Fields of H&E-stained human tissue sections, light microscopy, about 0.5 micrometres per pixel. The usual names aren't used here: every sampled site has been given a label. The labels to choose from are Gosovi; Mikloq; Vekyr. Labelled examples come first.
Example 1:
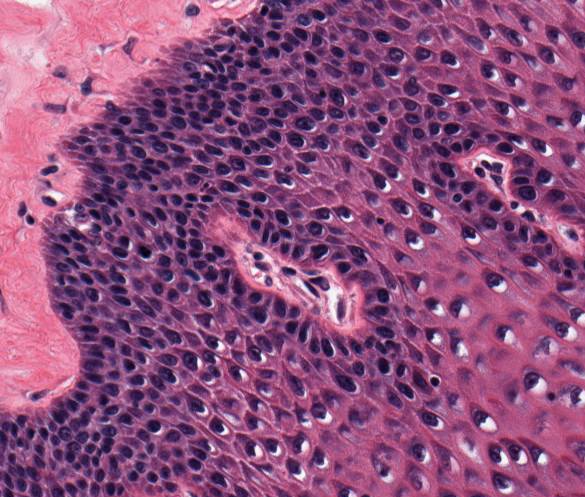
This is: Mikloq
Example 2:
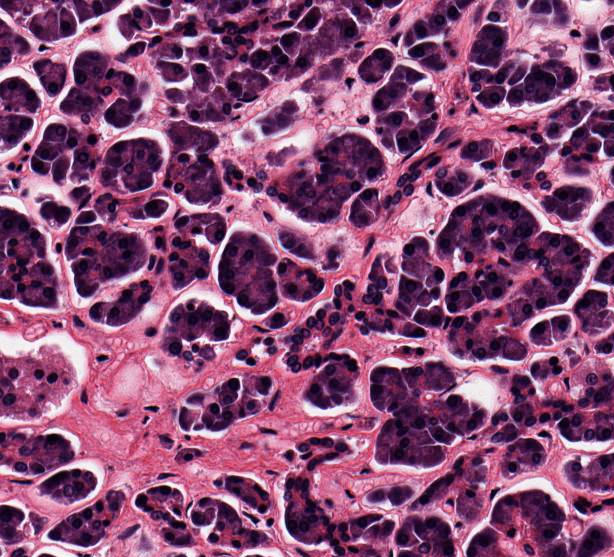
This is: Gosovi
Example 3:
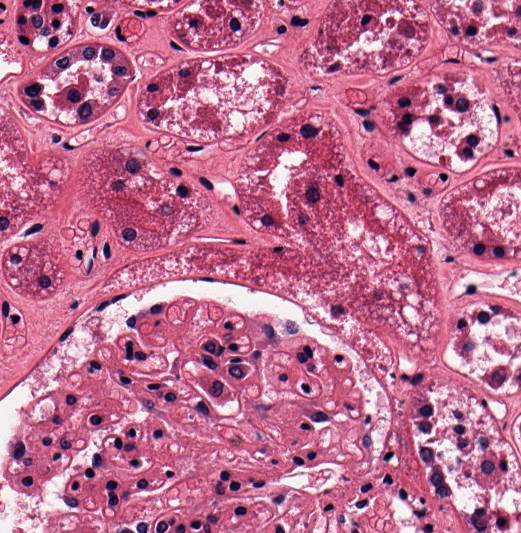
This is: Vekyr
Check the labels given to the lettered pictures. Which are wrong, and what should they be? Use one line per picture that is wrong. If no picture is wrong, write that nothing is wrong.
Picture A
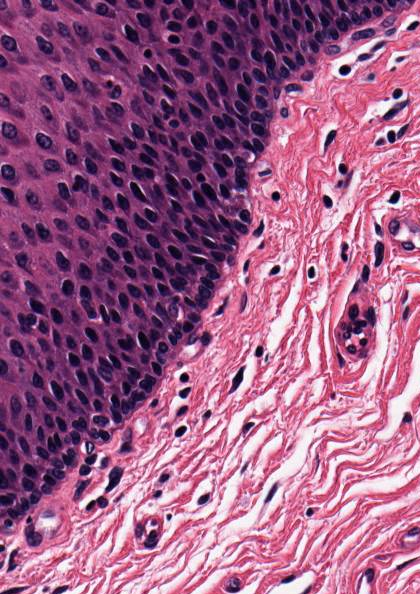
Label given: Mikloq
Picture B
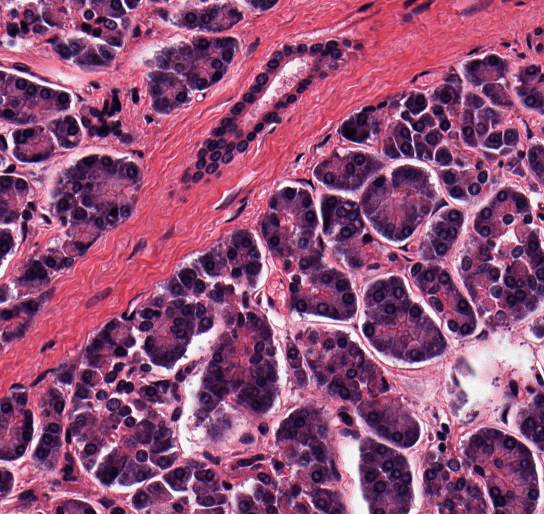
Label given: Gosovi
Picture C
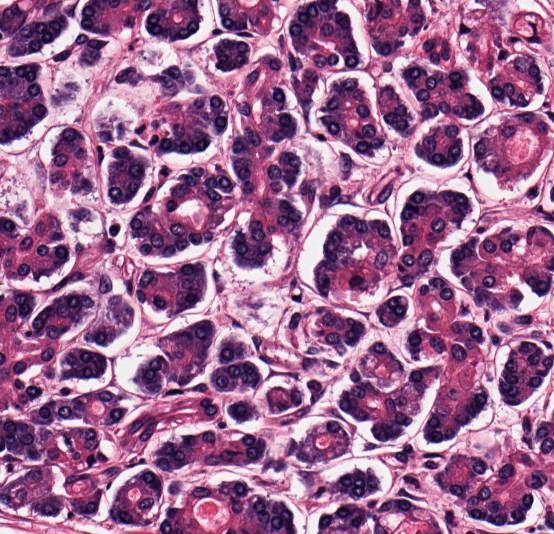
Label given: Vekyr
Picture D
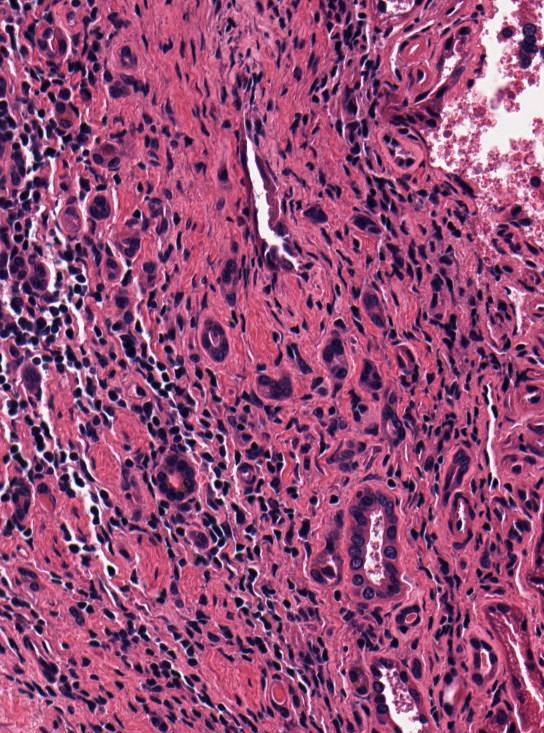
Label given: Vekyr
Wrong: C (Vekyr); correct: Gosovi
